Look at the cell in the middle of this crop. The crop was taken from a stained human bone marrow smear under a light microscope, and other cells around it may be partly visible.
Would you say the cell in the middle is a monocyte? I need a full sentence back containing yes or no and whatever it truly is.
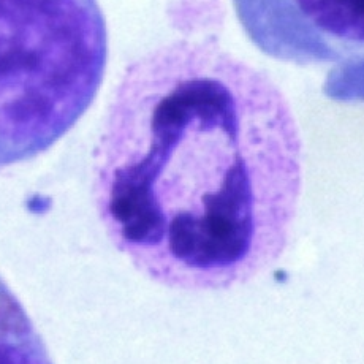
No, in this crop the middle cell is a neutrophil, not a monocyte.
